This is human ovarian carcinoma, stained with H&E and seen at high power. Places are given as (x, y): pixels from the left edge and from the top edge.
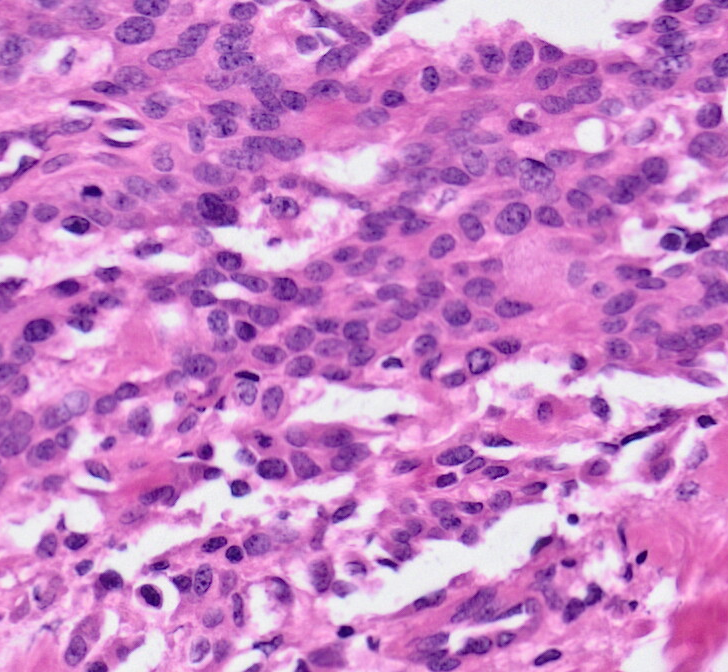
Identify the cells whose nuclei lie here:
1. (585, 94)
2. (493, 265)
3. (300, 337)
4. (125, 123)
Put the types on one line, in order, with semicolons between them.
carcinoma cell; carcinoma cell; carcinoma cell; endothelial cell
